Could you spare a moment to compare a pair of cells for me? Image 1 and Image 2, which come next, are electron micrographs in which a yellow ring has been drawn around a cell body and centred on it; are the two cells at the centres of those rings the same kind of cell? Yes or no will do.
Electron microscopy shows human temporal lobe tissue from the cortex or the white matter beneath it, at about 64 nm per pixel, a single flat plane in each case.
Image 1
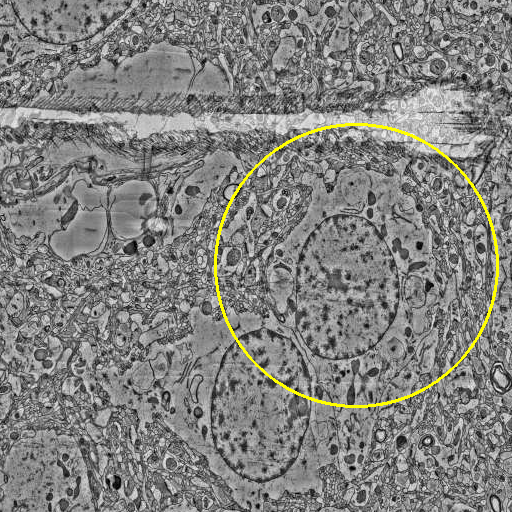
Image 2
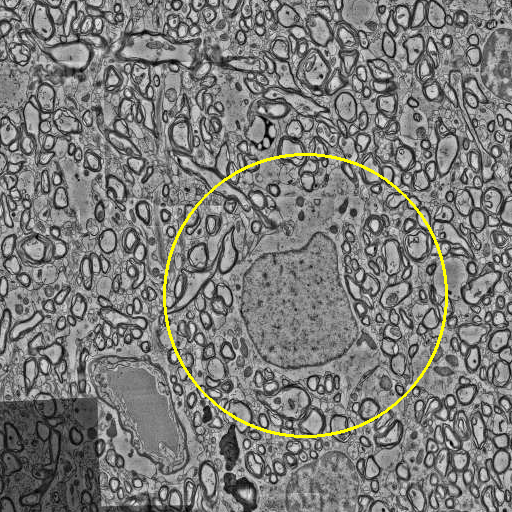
yes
